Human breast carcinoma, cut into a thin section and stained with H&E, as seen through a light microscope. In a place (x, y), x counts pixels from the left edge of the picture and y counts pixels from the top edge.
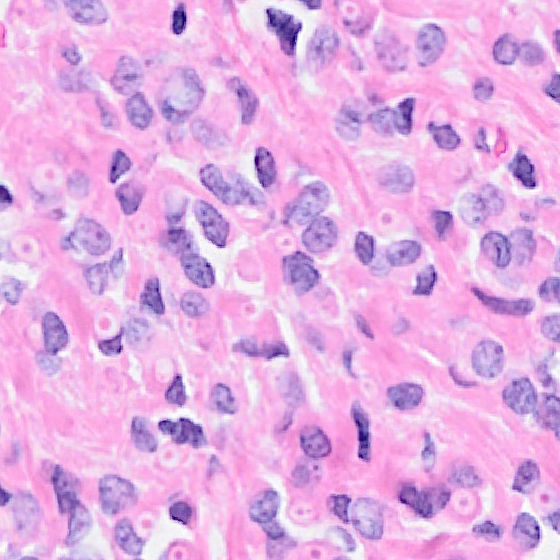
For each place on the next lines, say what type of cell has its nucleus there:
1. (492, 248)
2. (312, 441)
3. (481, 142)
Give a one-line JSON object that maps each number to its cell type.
{"1": "carcinoma cell", "2": "carcinoma cell", "3": "endothelial cell"}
